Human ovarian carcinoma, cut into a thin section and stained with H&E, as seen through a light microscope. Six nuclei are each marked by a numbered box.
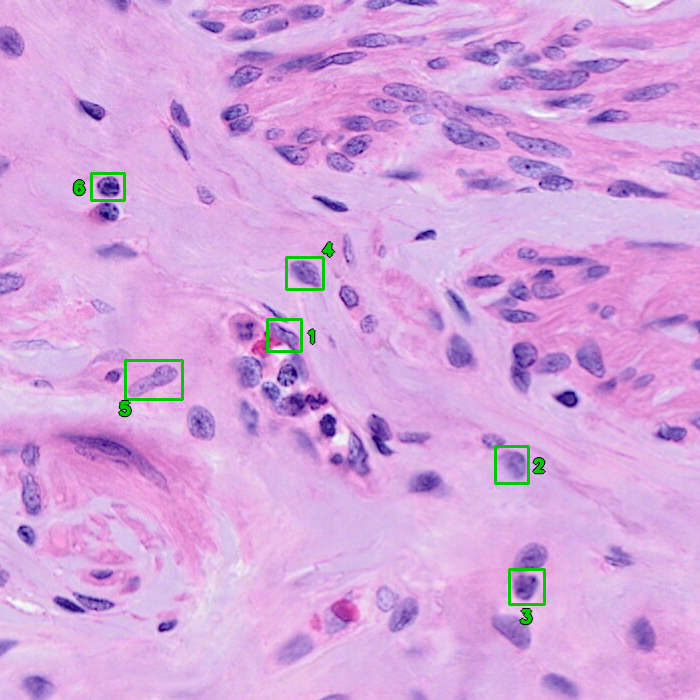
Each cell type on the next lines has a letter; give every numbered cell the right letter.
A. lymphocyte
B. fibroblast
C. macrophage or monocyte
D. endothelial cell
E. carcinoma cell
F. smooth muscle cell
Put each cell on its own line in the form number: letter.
1: D
2: B
3: A
4: B
5: F
6: A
